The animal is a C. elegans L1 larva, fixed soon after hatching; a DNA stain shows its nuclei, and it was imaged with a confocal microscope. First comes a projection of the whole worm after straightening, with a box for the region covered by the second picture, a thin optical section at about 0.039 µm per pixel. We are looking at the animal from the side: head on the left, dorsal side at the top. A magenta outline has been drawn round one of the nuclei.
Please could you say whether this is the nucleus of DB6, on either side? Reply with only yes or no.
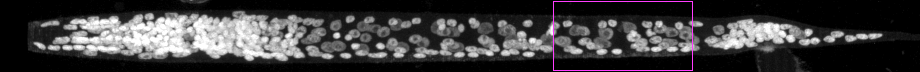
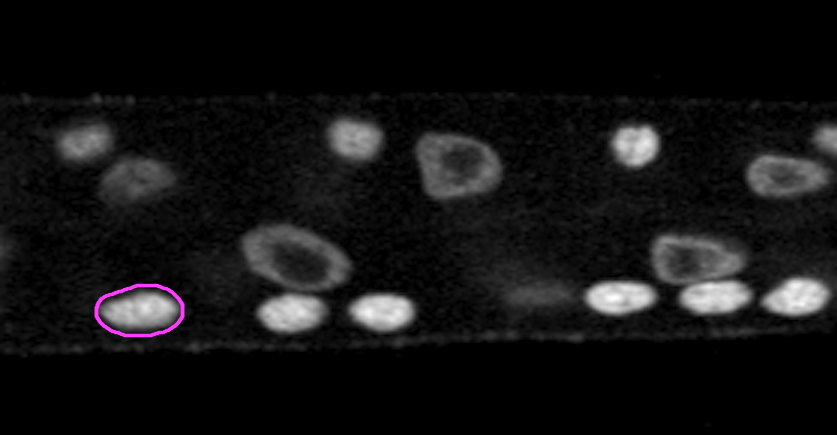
no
